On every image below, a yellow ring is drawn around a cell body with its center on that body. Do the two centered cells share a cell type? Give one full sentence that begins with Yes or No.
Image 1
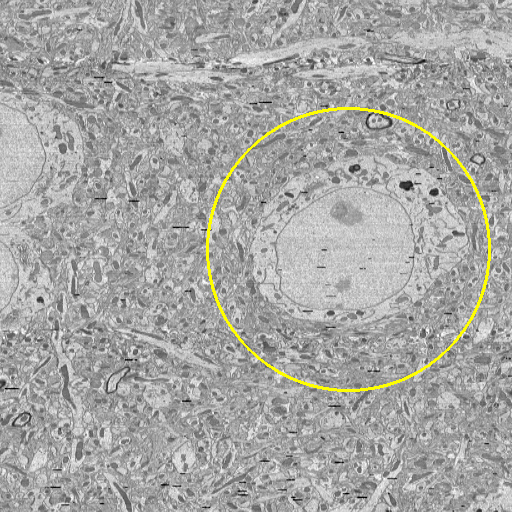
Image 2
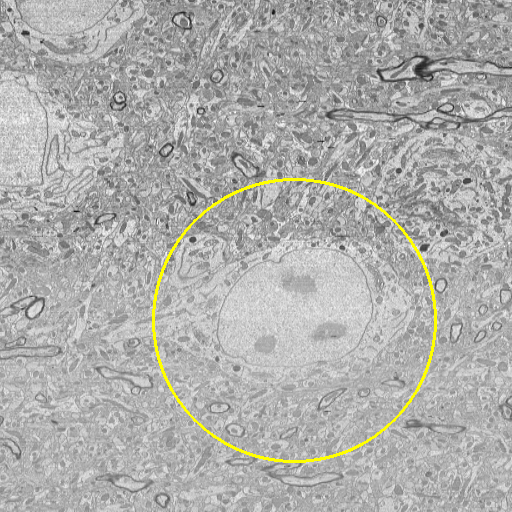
Yes, the centered cells in the two images are of a single cell type.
